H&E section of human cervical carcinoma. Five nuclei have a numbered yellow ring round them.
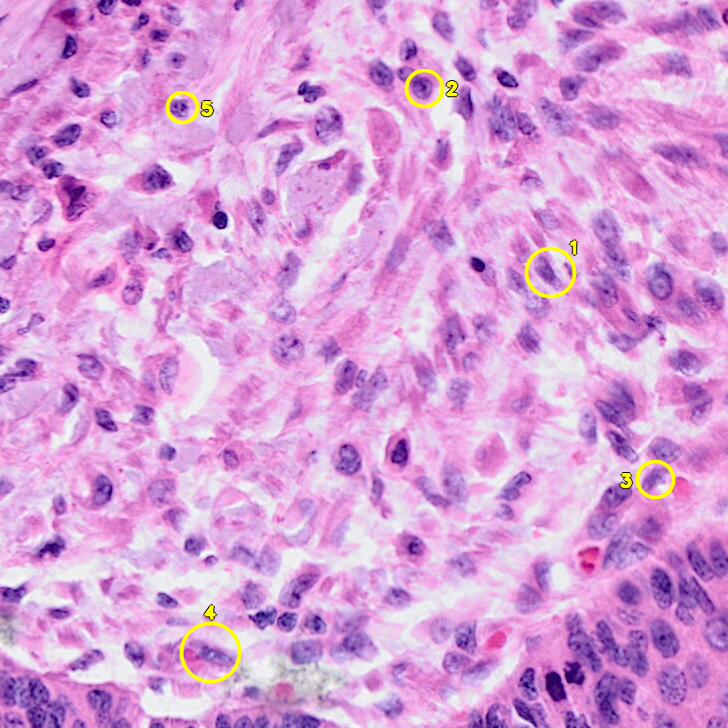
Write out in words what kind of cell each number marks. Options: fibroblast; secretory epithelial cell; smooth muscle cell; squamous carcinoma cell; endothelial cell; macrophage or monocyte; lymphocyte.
Cell 1 is a fibroblast, cell 2 is a macrophage or monocyte, cell 3 is an endothelial cell, cell 4 is an endothelial cell and cell 5 is a lymphocyte.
